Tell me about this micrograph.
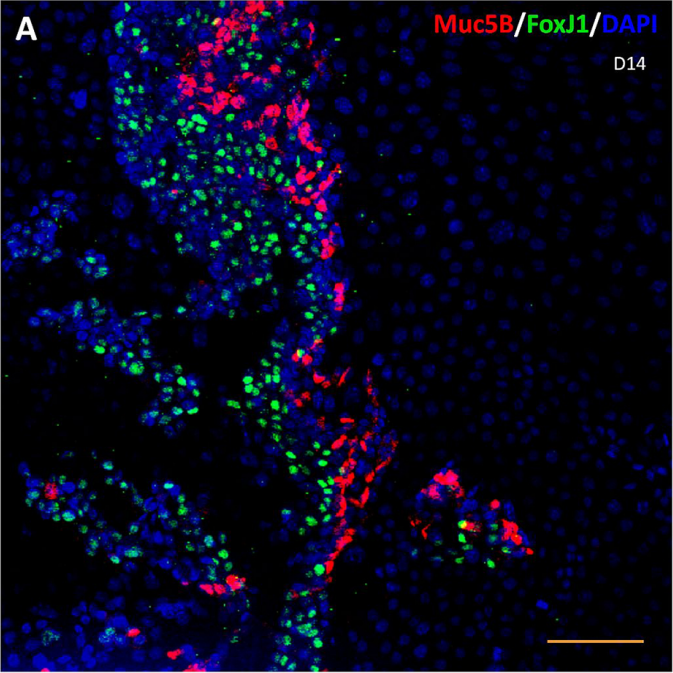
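A cultured epithelial sheet shows dense, branching clusters of small, crowded cells with green nuclei, with red-filled cells gathered mostly along the cluster edges. To the right lies a broad field of evenly spaced, larger blue nuclei with neither colour, a layer of flat cells.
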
